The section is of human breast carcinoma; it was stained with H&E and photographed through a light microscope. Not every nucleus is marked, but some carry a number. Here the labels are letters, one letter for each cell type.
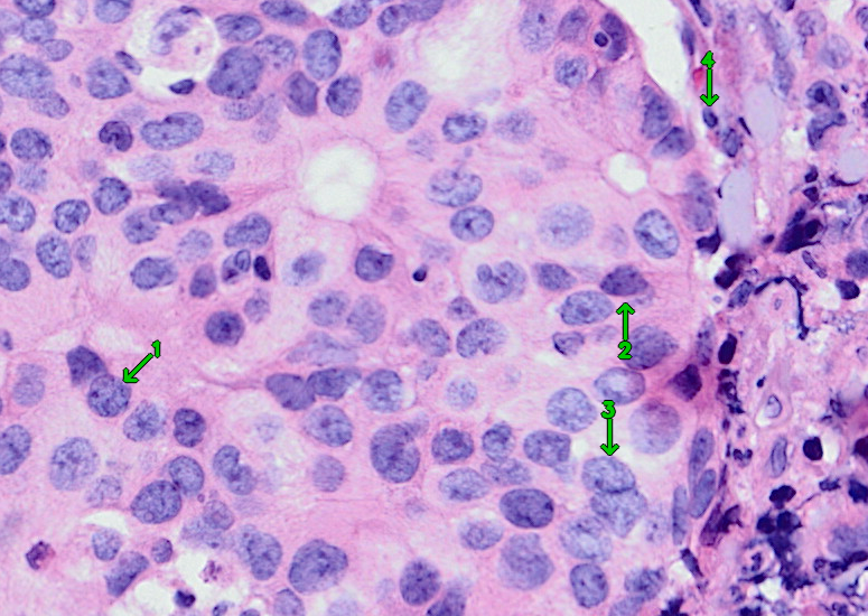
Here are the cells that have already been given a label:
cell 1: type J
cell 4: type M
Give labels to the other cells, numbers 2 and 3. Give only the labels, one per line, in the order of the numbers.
type J
type J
